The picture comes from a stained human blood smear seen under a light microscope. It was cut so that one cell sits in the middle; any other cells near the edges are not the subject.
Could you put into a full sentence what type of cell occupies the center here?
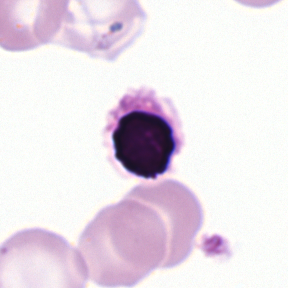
The identification for the central cell is a normoblast.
